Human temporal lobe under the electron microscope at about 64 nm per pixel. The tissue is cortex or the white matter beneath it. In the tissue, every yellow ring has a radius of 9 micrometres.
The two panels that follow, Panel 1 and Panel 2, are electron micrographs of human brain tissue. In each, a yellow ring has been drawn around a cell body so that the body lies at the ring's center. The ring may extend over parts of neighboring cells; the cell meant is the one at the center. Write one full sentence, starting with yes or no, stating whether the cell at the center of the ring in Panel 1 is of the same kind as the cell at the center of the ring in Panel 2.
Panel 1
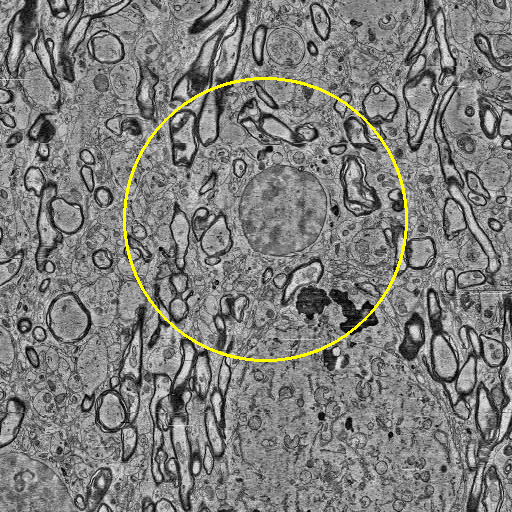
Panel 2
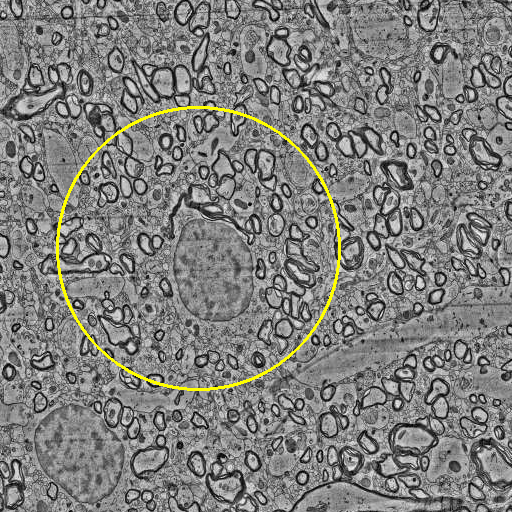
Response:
No, the cells in the two panels are of two kinds.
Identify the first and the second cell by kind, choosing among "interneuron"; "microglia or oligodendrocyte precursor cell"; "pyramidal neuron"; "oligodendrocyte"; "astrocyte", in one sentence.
The one in the first picture is a microglial cell or oligodendrocyte precursor cell, while the one in the second is an oligodendrocyte.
